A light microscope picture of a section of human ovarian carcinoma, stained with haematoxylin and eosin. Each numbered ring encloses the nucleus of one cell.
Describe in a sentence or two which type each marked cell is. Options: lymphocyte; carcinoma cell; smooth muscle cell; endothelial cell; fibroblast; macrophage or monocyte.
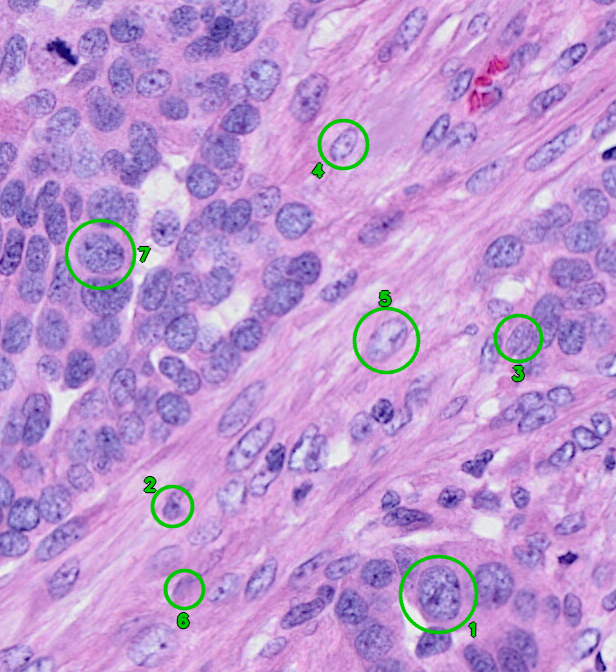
Cell 1 is a carcinoma cell, cell 2 is a macrophage or monocyte, cell 3 is a carcinoma cell, cell 4 is a fibroblast, cell 5 is a fibroblast, cell 6 is a fibroblast and cell 7 is a carcinoma cell.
